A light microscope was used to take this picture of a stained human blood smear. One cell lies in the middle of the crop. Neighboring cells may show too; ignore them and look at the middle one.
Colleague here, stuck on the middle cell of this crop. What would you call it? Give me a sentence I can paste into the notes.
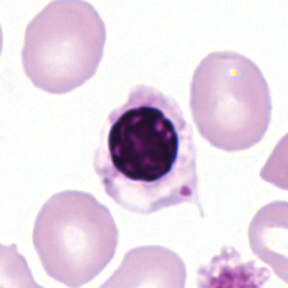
Answering briefly, the cell in the middle is an erythroblast.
